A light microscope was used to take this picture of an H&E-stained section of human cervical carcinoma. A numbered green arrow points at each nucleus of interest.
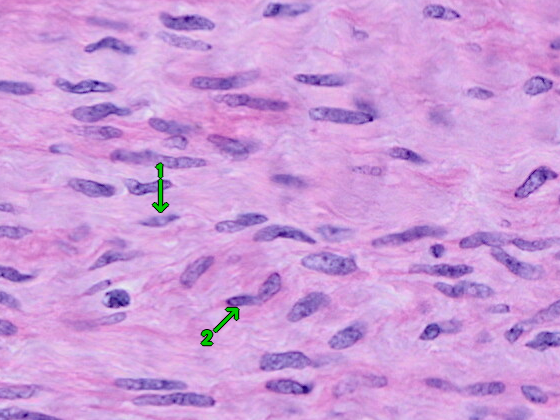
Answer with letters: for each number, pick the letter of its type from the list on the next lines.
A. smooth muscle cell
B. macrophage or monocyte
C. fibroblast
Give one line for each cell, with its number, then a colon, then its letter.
1: C
2: A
